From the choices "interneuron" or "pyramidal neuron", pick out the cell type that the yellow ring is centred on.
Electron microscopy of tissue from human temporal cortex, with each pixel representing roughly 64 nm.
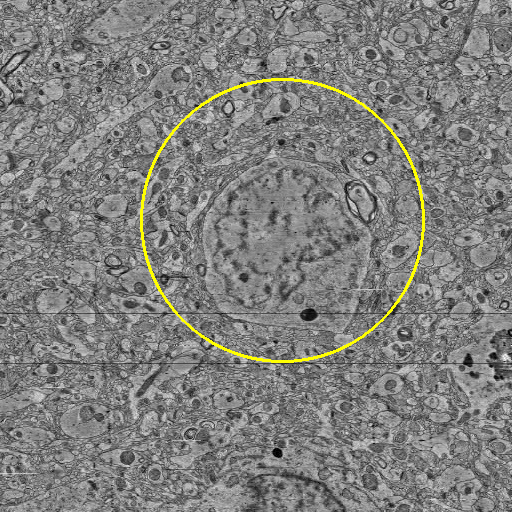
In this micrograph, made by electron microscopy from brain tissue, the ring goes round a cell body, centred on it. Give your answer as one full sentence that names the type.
The yellow ring is centred on an interneuron, whose cell body it encircles in the picture.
